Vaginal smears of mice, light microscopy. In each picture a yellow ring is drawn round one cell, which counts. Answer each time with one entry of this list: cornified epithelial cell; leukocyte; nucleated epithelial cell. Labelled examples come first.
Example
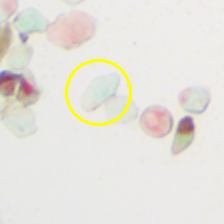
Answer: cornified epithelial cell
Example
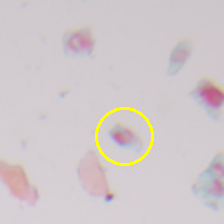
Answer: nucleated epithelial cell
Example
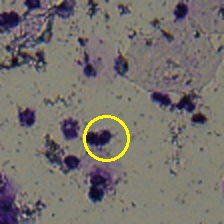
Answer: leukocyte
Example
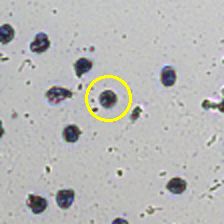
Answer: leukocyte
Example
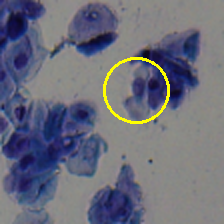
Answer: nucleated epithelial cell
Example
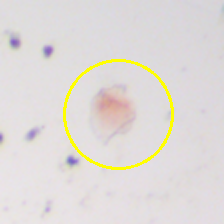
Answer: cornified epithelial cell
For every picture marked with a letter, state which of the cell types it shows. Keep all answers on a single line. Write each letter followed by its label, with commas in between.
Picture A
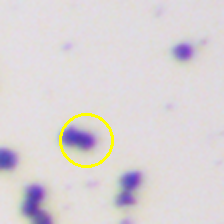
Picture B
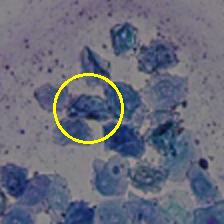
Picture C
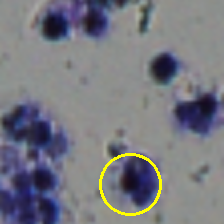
A leukocyte, B cornified epithelial cell, C leukocyte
